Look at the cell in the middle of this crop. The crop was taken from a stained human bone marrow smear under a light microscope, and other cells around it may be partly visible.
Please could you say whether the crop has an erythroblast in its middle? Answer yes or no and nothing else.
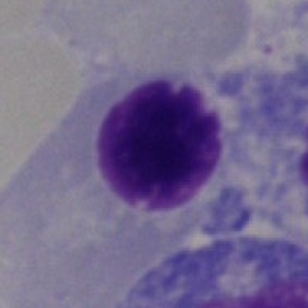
yes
